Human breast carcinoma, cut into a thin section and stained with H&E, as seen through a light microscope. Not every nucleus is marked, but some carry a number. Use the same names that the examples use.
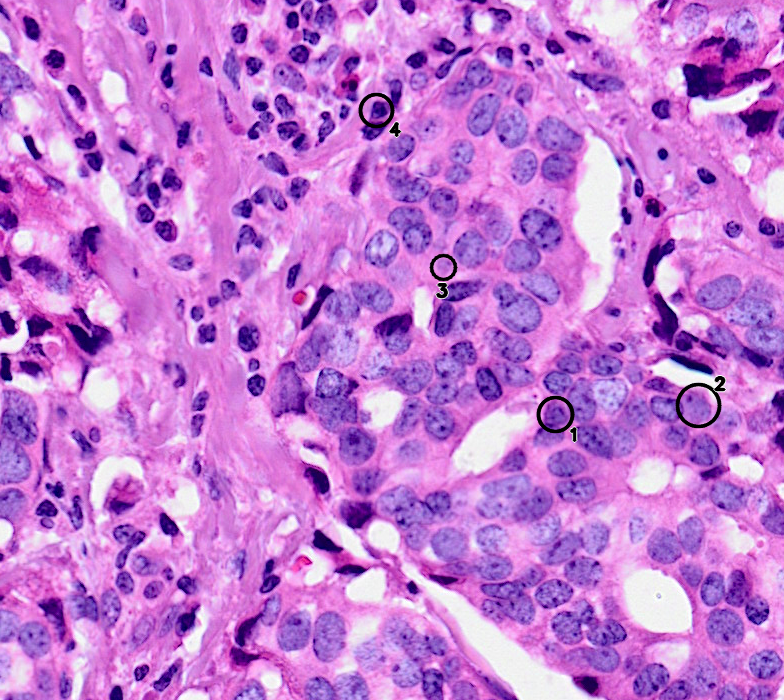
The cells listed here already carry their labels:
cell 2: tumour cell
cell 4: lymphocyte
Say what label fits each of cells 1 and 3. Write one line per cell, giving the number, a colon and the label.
1: tumour cell
3: tumour cell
